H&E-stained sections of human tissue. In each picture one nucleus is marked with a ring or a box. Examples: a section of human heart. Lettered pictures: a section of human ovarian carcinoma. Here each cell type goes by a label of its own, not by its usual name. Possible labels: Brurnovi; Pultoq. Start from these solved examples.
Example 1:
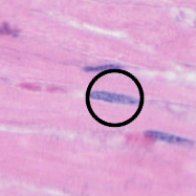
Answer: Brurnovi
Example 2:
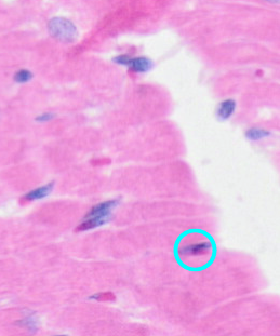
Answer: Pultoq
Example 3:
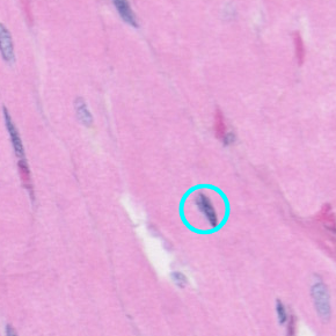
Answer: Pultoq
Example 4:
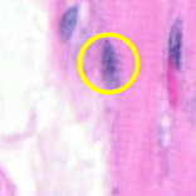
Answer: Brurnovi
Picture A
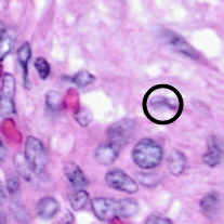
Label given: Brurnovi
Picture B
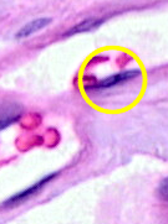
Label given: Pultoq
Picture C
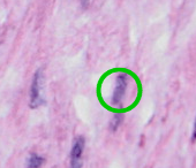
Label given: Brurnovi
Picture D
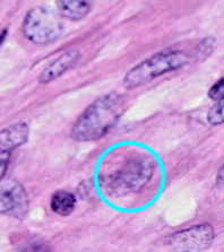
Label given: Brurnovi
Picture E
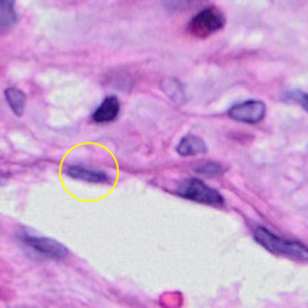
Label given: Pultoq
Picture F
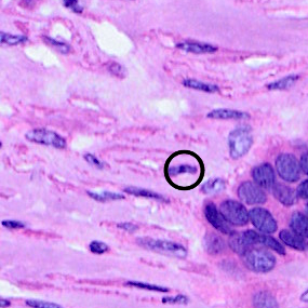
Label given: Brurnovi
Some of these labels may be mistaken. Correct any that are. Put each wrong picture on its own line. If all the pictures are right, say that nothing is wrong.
Nothing to fix; every label fits.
